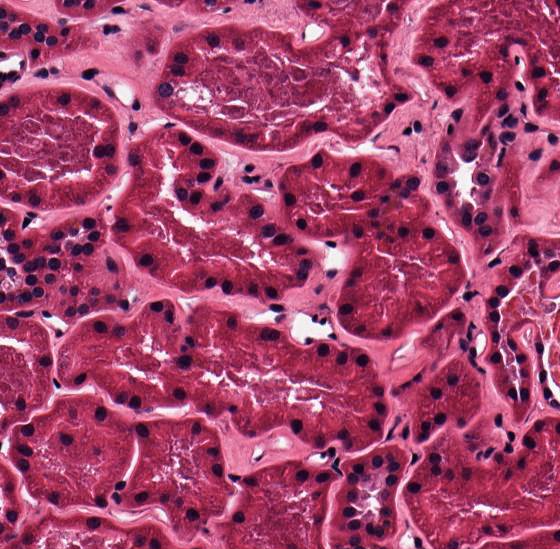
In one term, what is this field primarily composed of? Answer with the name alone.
cortical labyrinth of the kidney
